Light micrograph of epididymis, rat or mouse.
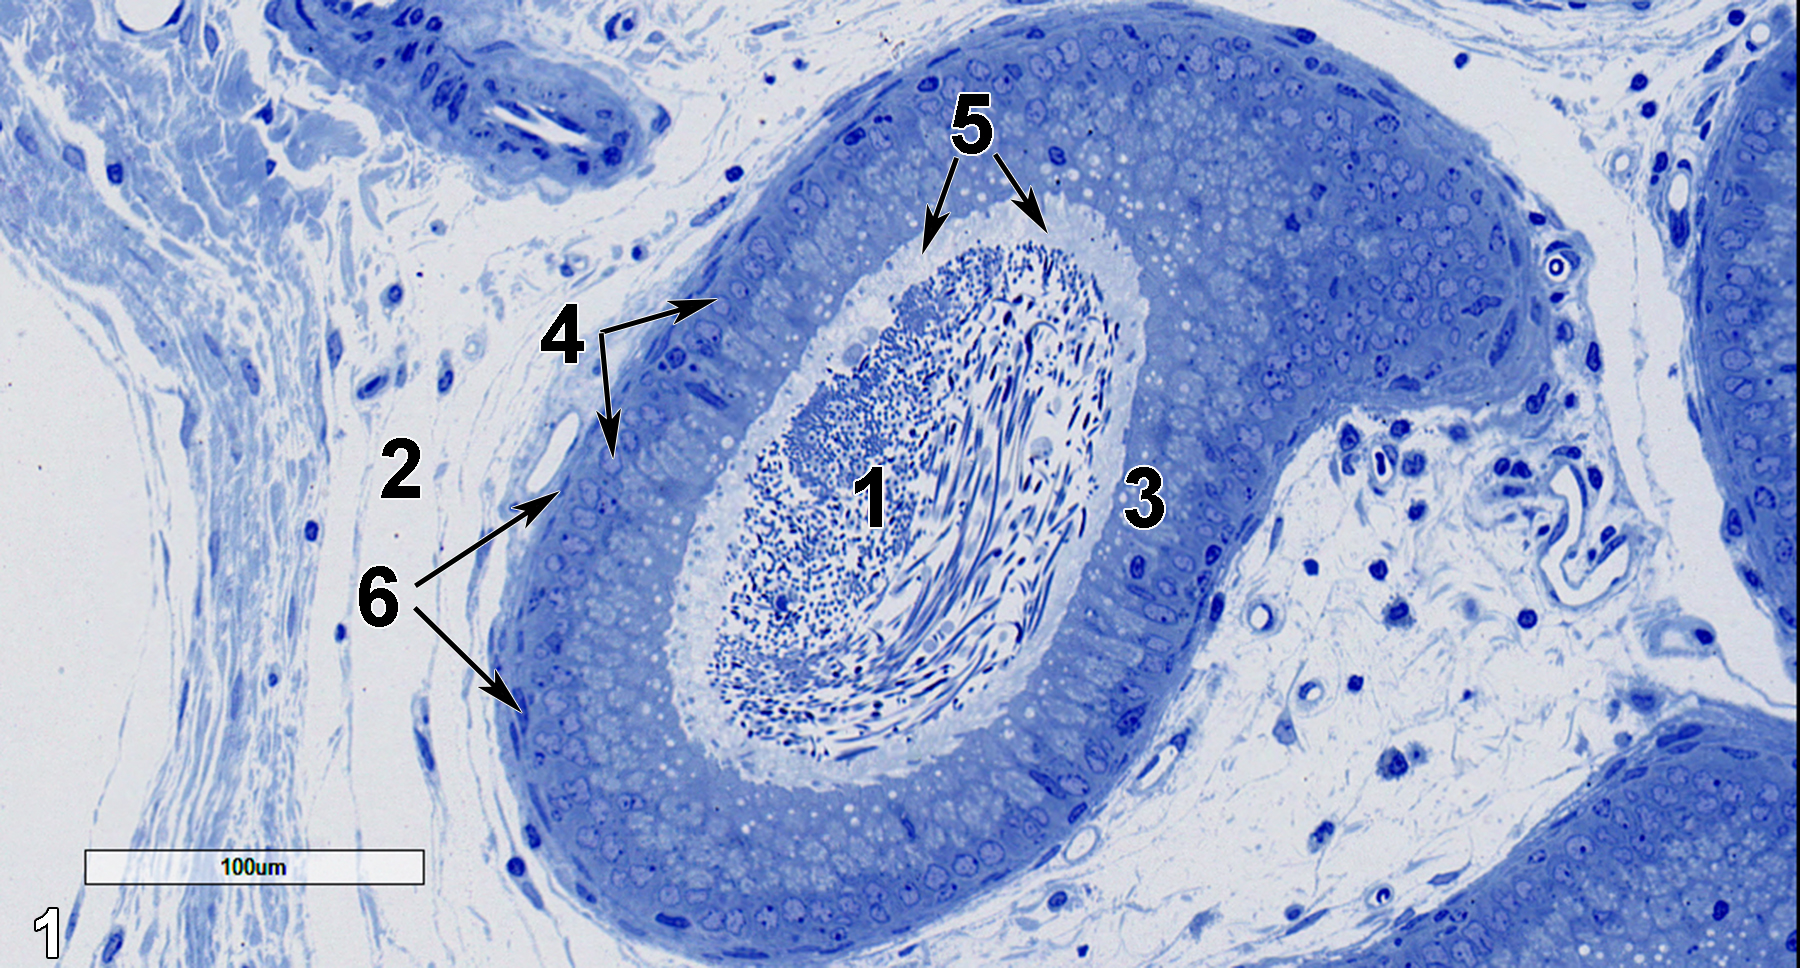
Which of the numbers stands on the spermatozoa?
1.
